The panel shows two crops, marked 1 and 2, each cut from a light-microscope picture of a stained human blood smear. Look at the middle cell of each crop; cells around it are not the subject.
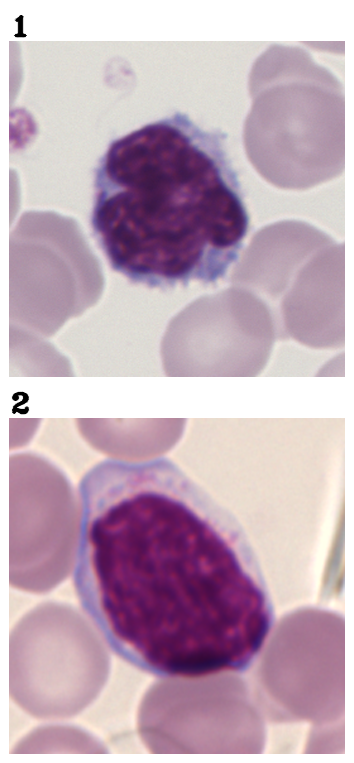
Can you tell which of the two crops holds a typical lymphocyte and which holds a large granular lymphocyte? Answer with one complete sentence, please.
Crop 1 is classified as a typical lymphocyte, and crop 2 as a large granular lymphocyte.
